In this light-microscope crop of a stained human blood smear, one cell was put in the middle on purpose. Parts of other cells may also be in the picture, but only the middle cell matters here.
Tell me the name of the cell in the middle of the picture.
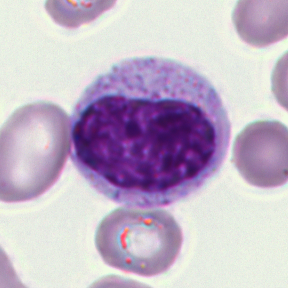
metamyelocyte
